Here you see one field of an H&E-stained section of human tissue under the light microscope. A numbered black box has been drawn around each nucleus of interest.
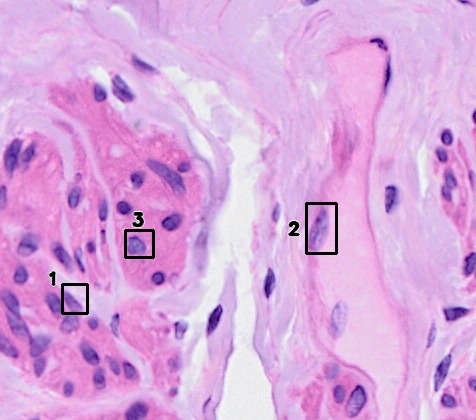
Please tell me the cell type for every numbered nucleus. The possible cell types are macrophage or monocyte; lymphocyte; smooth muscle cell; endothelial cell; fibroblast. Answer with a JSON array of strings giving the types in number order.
["smooth muscle cell", "endothelial cell", "smooth muscle cell"]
